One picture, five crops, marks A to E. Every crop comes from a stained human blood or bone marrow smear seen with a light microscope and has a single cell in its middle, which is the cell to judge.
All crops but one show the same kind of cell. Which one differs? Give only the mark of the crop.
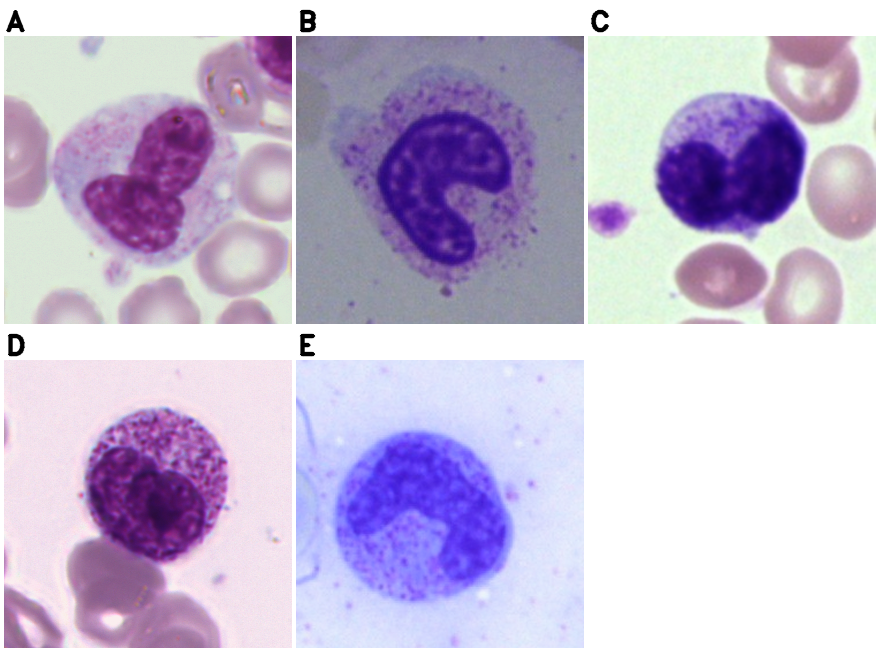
D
